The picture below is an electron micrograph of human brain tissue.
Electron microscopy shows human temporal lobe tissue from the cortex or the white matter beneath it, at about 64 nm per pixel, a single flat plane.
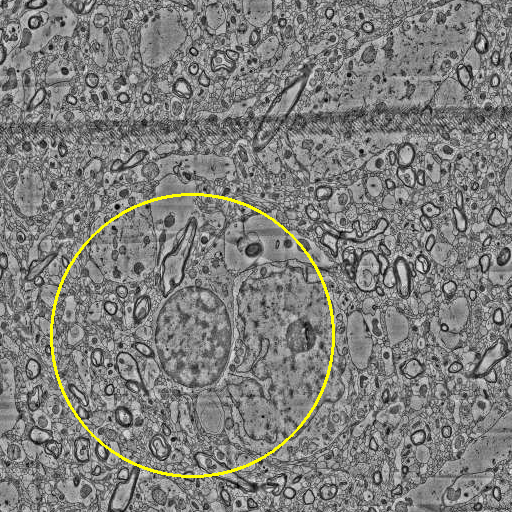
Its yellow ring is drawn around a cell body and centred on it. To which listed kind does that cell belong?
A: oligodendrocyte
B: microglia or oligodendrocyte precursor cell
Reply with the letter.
A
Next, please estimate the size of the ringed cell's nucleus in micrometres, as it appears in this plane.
The ringed cell's nucleus measures approximately 6 by 5 micrometres in this plane.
